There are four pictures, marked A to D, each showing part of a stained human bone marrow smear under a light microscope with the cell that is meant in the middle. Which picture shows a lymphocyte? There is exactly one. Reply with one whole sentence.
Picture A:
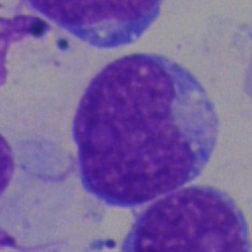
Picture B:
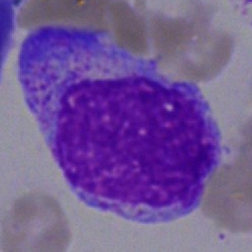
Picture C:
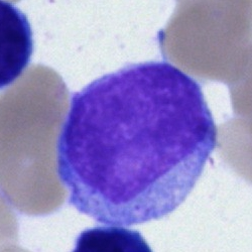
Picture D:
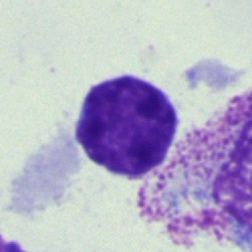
The picture with the lymphocyte is D.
